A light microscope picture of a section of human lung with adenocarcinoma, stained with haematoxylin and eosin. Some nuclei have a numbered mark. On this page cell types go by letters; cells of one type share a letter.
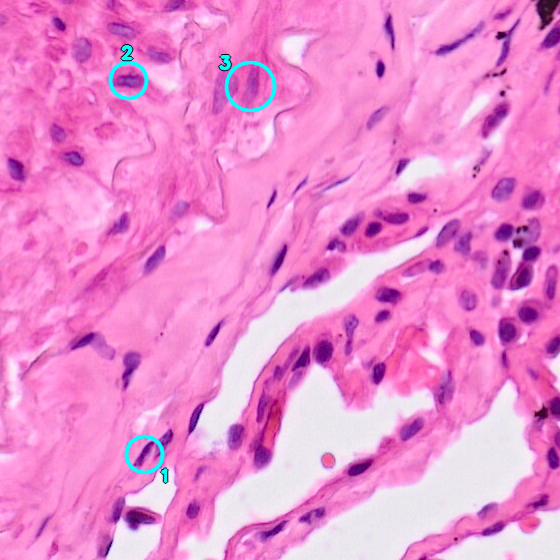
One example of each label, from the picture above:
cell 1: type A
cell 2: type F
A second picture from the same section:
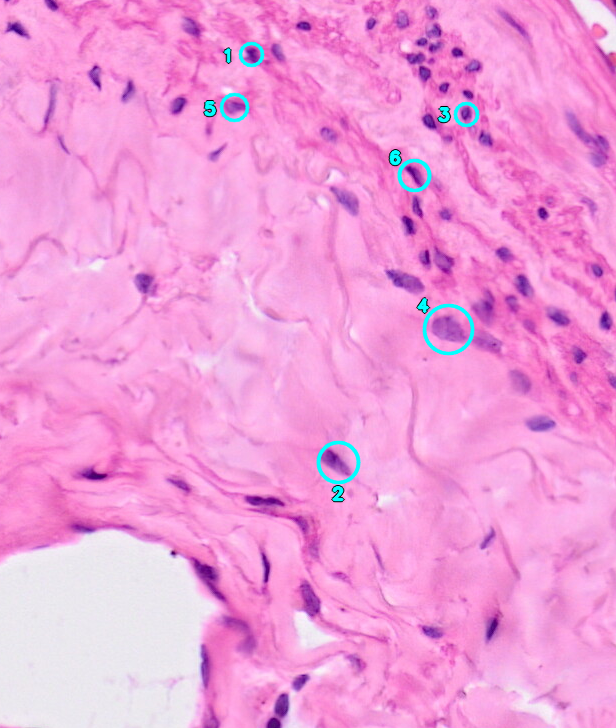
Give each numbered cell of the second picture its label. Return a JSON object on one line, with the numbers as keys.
{"1": "type F", "2": "type A", "3": "type F", "4": "type A", "5": "type F", "6": "type F"}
